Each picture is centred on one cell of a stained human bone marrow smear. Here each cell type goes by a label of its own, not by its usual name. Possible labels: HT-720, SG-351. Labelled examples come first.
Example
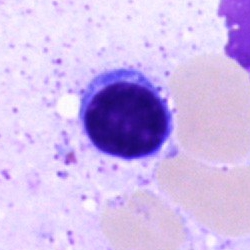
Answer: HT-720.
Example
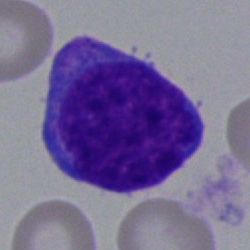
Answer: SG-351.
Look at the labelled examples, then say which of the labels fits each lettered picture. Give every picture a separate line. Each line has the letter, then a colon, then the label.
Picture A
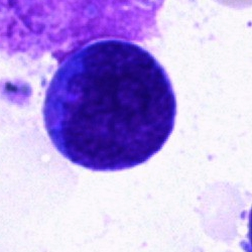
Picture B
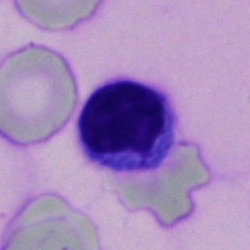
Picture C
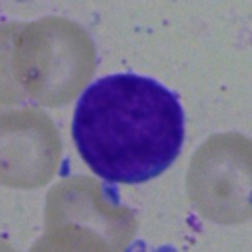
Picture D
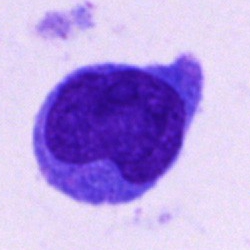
A: SG-351.
B: HT-720.
C: HT-720.
D: SG-351.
